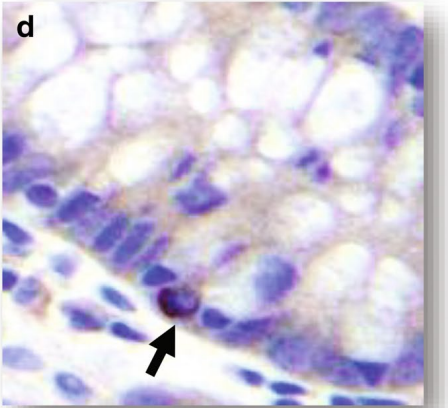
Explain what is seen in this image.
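The marked cell is small and rounded, with dense dark brown to purple staining, and lies at the basal edge of the epithelium against the underlying connective tissue. The surrounding epithelial cells have oval to elongated blue nuclei placed basally. Above them, large pale vacuoles fill much of the field, consistent with mucin-containing goblet cells. Below the epithelium, a few elongated nuclei of stromal cells are visible in the loose connective tissue.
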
